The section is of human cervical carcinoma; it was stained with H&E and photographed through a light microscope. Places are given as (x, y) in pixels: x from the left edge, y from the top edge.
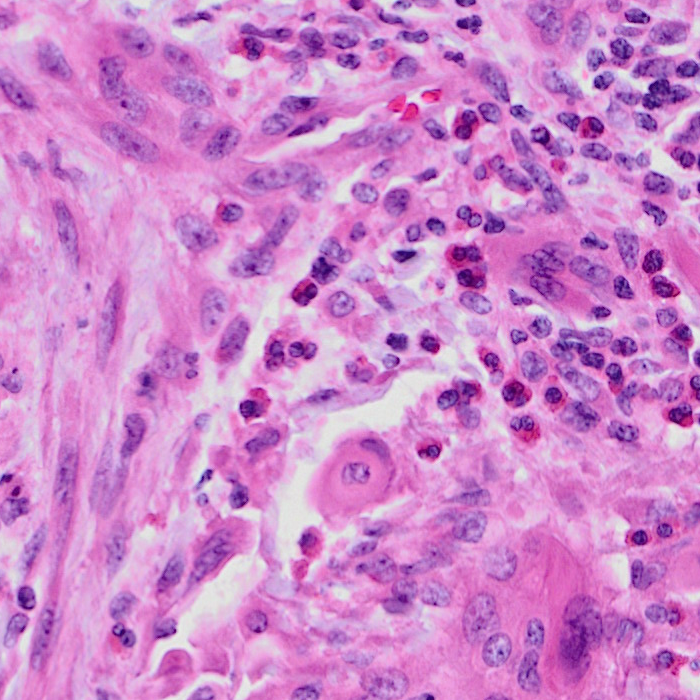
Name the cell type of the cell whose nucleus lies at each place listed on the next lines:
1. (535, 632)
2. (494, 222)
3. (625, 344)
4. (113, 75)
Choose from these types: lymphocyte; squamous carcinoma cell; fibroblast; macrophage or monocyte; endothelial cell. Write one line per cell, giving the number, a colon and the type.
1: squamous carcinoma cell
2: lymphocyte
3: lymphocyte
4: endothelial cell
